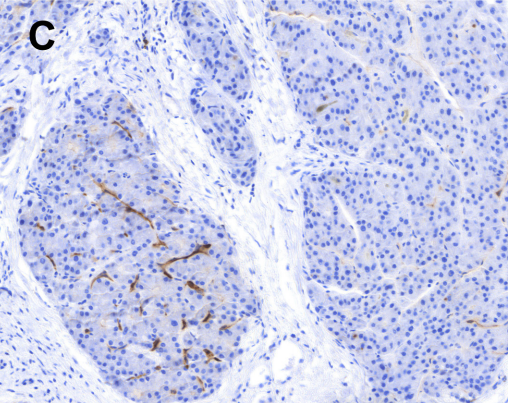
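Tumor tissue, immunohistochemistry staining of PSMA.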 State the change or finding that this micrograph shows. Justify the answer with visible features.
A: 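The nodule on the left has strong dark brown branching stain. The nodules on the right are almost unstained. Fibrous septa separate the nodules. So: intratumoral heterogeneity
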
